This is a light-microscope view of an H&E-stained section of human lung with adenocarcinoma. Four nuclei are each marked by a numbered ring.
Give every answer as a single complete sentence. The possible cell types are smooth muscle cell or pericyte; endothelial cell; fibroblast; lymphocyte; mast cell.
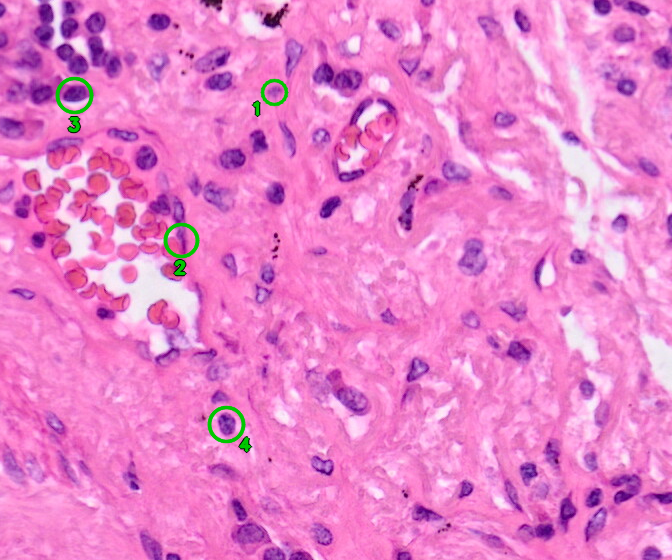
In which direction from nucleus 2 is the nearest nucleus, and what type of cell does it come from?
An endothelial cell lies closest, above nucleus 2.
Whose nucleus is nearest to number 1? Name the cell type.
It is a fibroblast whose nucleus is nearest to number 1.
